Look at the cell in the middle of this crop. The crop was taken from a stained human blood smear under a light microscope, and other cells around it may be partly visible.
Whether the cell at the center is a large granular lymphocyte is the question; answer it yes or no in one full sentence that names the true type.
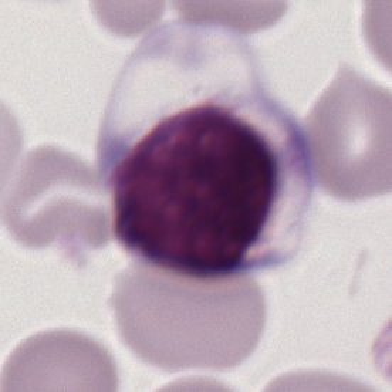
Yes, that middle cell in the crop is a large granular lymphocyte.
